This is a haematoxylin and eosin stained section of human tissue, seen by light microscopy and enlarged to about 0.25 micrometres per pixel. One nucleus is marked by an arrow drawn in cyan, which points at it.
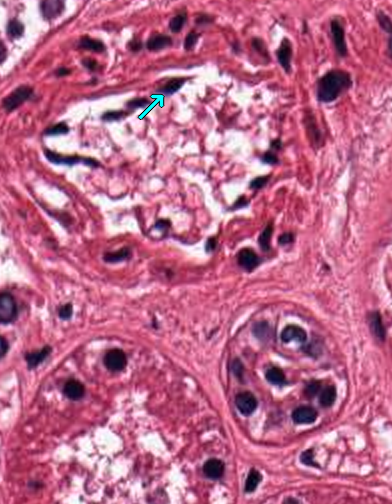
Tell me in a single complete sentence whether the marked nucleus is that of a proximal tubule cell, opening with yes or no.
No, the marked nucleus is attributed to a supporting cell, not to a proximal tubule cell.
